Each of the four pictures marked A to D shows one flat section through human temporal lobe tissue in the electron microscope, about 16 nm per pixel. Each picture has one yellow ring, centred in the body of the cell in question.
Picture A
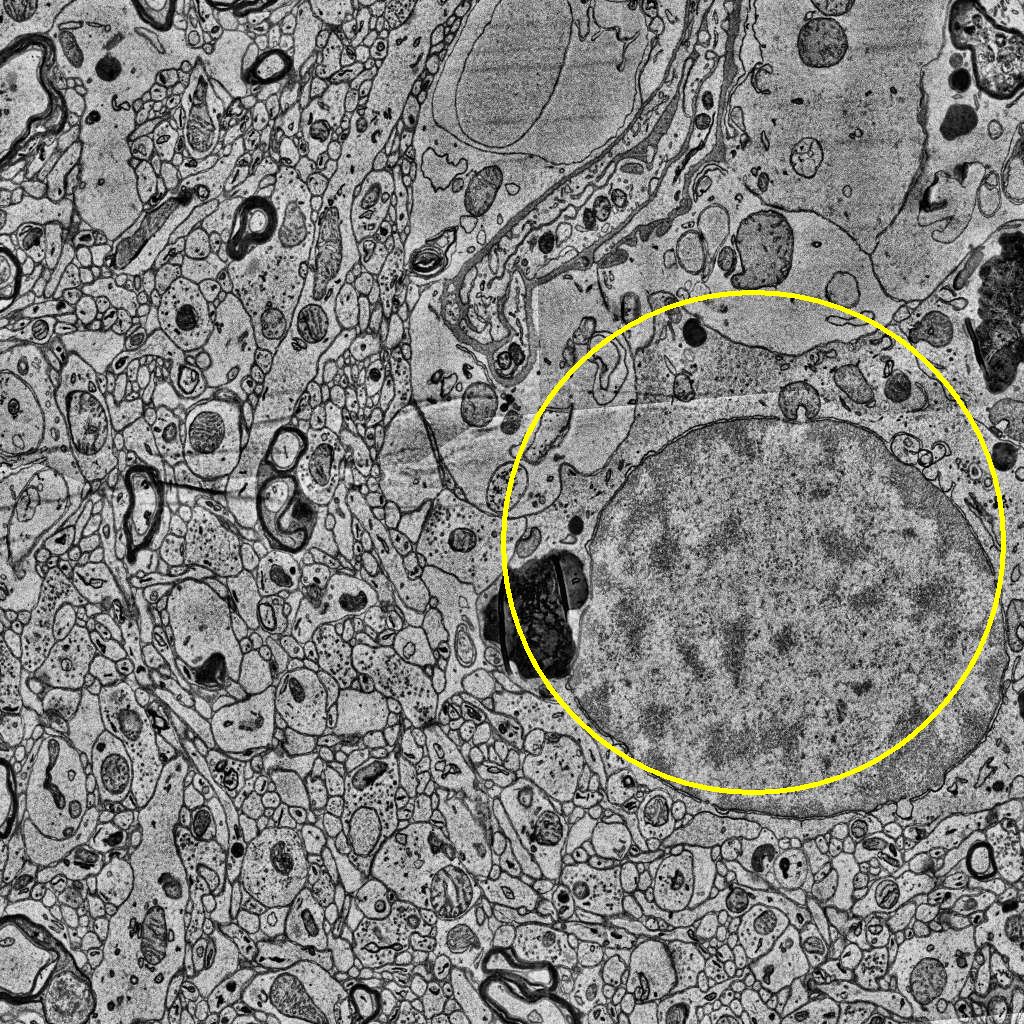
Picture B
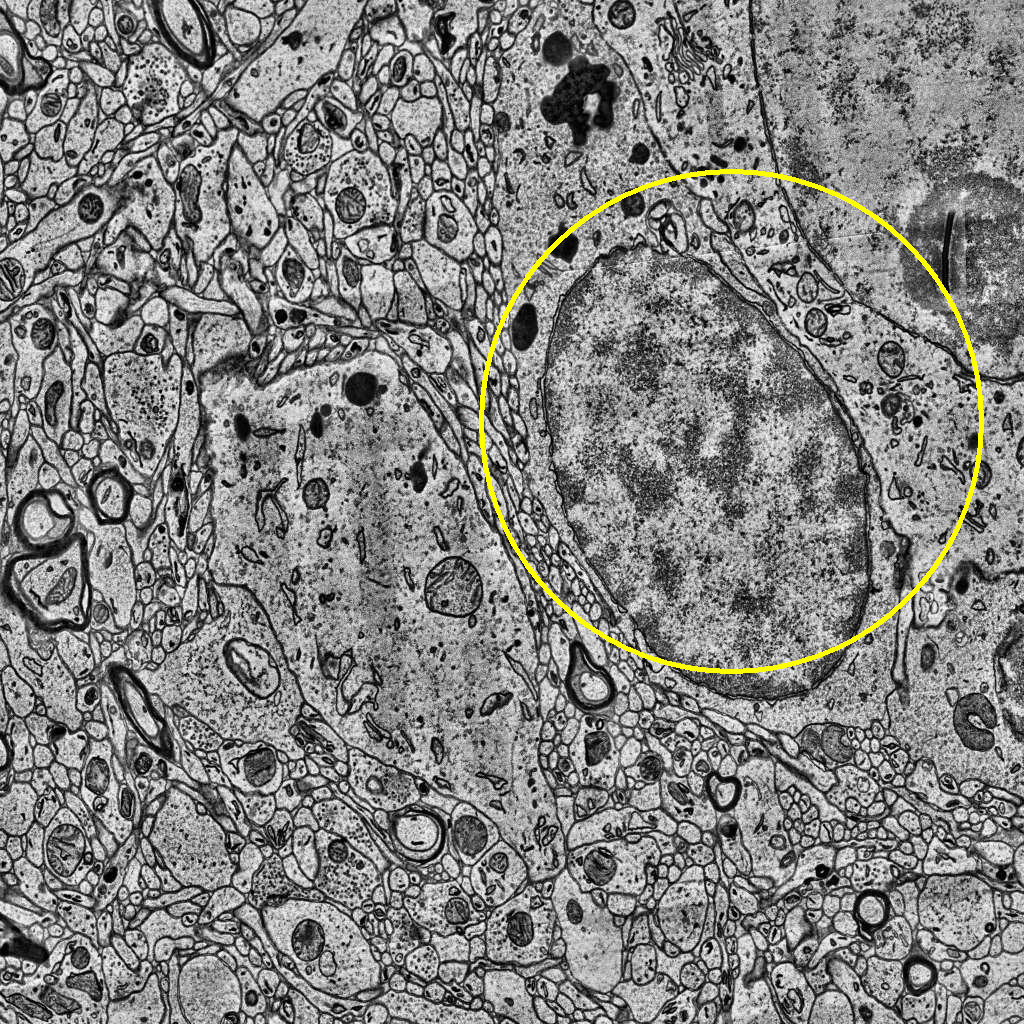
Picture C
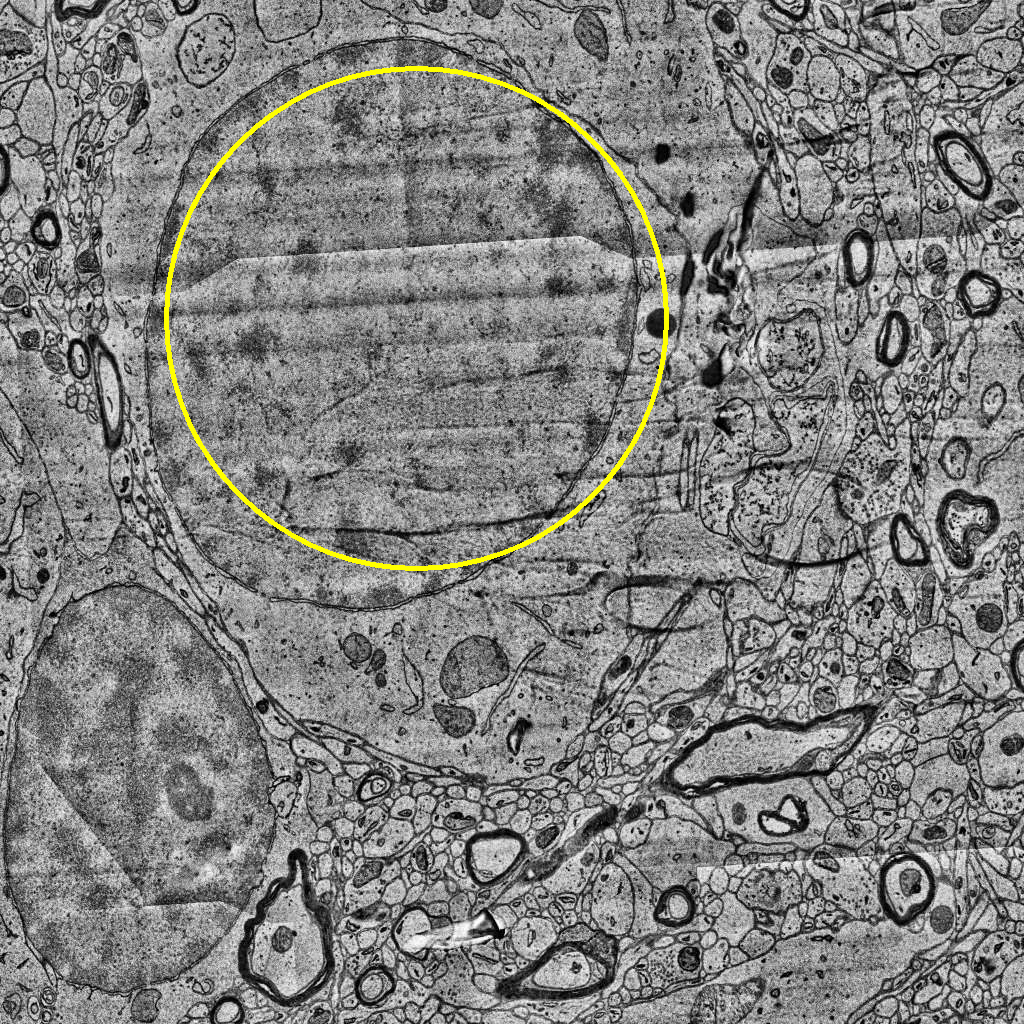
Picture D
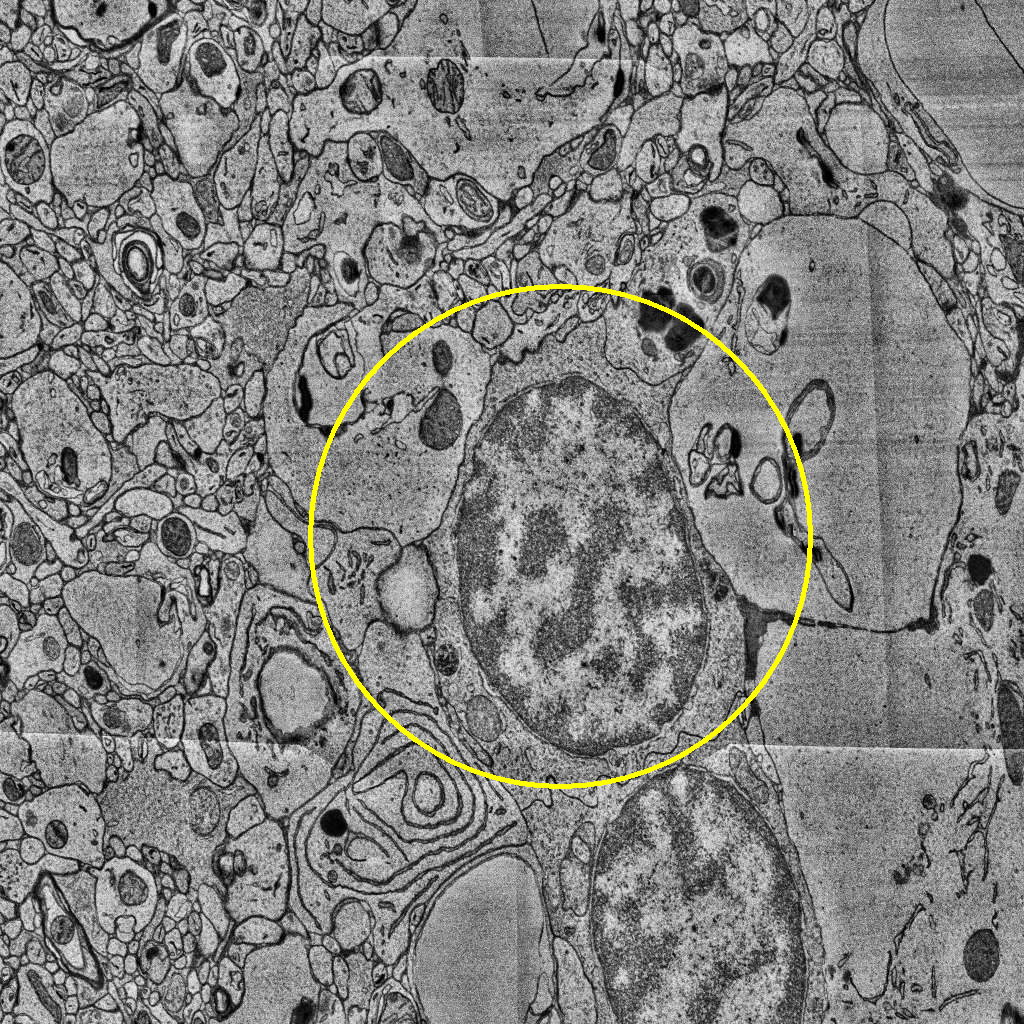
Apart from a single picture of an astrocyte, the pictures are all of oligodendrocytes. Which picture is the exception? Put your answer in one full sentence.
It is picture C that shows the astrocyte.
